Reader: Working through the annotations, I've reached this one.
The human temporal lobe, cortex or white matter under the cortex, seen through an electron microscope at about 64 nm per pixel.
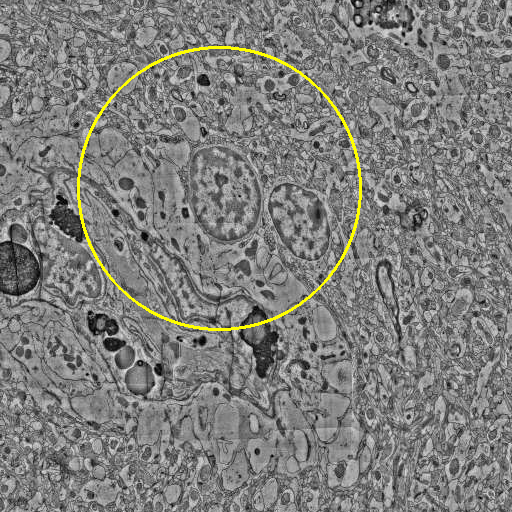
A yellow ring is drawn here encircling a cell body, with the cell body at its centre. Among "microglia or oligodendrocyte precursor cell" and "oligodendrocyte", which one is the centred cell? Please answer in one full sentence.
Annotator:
The cell body at the centre of the yellow ring in this image belongs to an oligodendrocyte.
